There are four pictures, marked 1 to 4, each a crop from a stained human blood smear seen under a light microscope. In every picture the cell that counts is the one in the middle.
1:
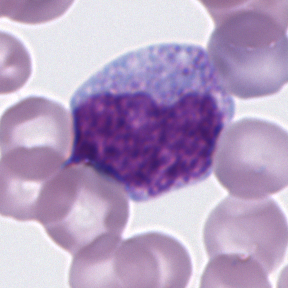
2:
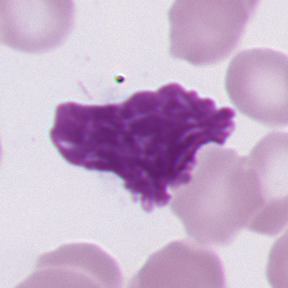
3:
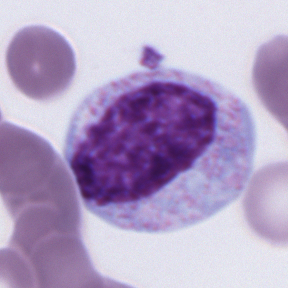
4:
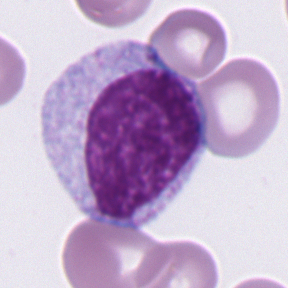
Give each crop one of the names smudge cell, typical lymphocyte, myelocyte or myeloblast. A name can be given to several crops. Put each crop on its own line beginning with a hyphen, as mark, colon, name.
- 1: myelocyte
- 2: smudge cell
- 3: myelocyte
- 4: myelocyte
